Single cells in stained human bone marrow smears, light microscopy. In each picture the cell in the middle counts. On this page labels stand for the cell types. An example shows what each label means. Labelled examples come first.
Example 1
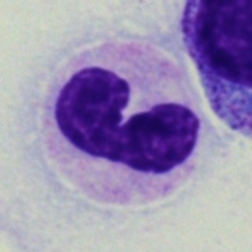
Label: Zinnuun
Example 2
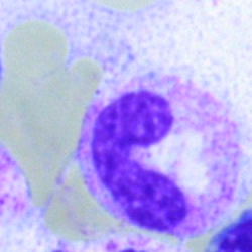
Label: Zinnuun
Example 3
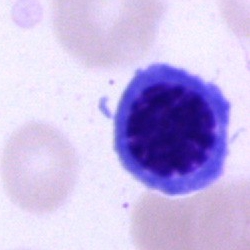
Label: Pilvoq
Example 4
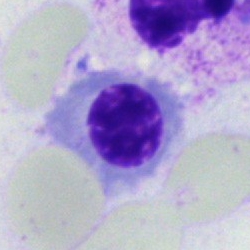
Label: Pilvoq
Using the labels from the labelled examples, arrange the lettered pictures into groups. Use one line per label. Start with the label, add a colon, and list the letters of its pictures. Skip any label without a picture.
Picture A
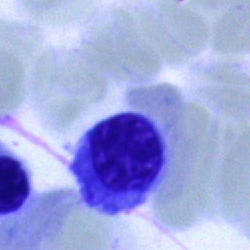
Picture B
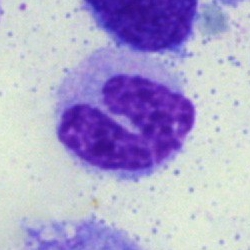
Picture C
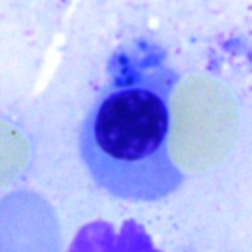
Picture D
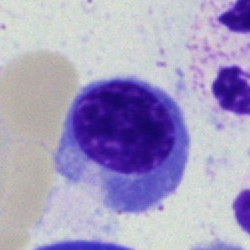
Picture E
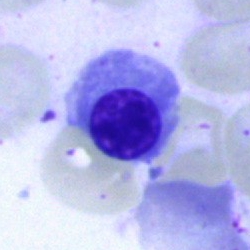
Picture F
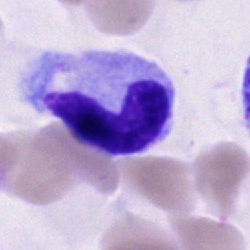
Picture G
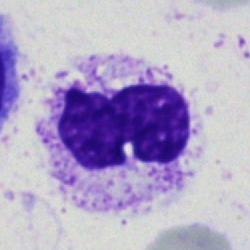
Zinnuun: B, F, G
Pilvoq: A, C, D, E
